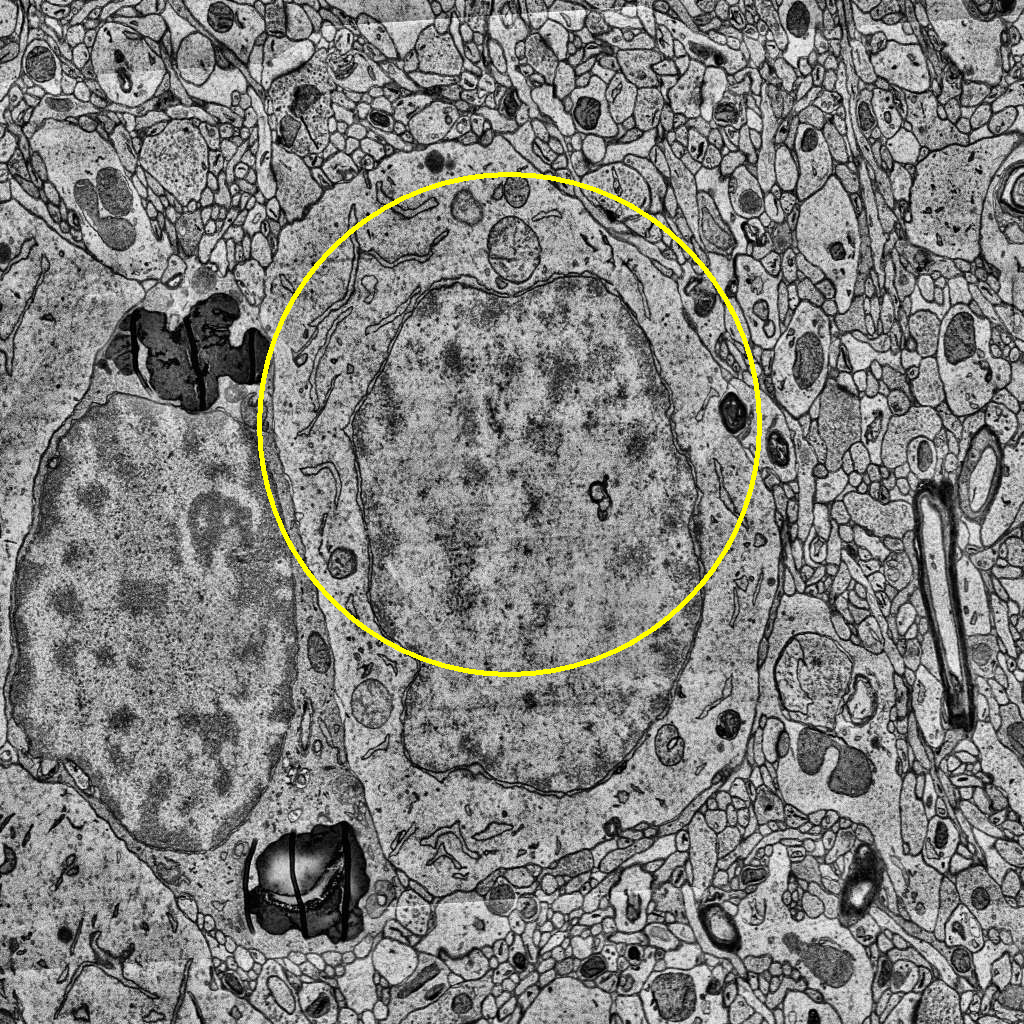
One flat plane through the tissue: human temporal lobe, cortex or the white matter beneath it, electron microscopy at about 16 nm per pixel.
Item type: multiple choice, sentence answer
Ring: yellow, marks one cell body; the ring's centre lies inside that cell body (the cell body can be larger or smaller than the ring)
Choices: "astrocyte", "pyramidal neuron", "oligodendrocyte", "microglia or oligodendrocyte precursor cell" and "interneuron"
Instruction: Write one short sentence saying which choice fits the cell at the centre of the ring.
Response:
The centre of this ring lies on an interneuron.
